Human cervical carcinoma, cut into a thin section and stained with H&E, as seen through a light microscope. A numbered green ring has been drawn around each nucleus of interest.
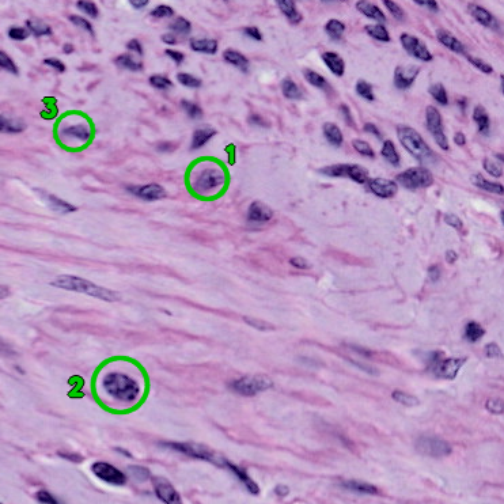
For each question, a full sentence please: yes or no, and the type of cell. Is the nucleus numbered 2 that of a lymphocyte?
Yes, the cell with the mark numbered 2 is a lymphocyte.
